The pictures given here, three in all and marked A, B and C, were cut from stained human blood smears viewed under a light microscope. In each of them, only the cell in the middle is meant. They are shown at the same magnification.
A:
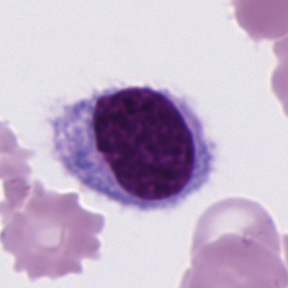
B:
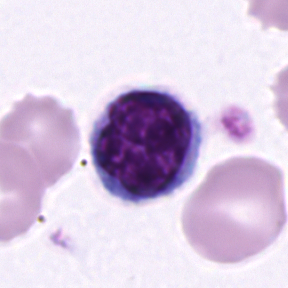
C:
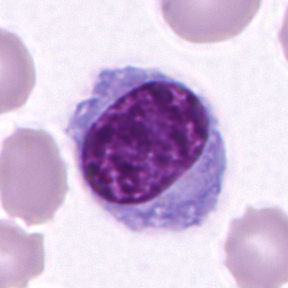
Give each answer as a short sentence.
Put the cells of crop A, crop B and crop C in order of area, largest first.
Largest first: C, A, B.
